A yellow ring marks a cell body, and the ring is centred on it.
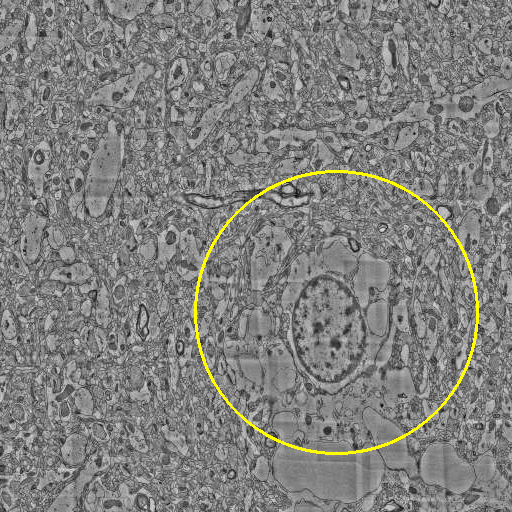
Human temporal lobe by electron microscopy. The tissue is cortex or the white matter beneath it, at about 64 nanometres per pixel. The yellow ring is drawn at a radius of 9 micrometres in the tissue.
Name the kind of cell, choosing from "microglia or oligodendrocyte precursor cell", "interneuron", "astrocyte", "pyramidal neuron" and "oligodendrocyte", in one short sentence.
The marked cell body belongs to an astrocyte.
